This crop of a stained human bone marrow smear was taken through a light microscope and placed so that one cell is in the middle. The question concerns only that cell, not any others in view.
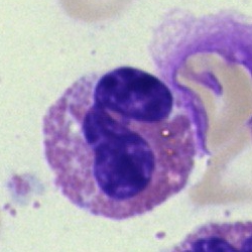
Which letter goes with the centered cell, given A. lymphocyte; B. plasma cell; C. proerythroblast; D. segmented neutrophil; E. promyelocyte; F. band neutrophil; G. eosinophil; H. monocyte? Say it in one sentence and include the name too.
The one to choose is option G, as the cell in the middle is an eosinophil.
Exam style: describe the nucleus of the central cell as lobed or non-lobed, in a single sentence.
One defining trait here is a nucleus of two or more segments.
